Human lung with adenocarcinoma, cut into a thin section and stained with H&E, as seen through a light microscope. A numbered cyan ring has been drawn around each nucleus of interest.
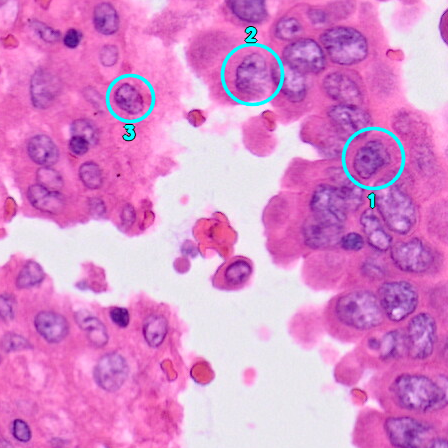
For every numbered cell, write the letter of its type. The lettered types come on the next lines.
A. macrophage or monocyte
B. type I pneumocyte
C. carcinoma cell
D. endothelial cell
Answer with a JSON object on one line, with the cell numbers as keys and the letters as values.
{"1": "C", "2": "C", "3": "A"}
